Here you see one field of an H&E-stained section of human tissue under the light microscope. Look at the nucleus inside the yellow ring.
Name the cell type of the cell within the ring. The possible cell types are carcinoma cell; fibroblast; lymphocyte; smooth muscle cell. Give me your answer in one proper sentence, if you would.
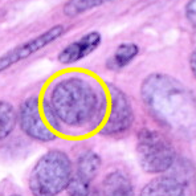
In the tissue at hand, the cell within the ring is a carcinoma cell.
